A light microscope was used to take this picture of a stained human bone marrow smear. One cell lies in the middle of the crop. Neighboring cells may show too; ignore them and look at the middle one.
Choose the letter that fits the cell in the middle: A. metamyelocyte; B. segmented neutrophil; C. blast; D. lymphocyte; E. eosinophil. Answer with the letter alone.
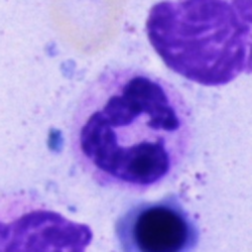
B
